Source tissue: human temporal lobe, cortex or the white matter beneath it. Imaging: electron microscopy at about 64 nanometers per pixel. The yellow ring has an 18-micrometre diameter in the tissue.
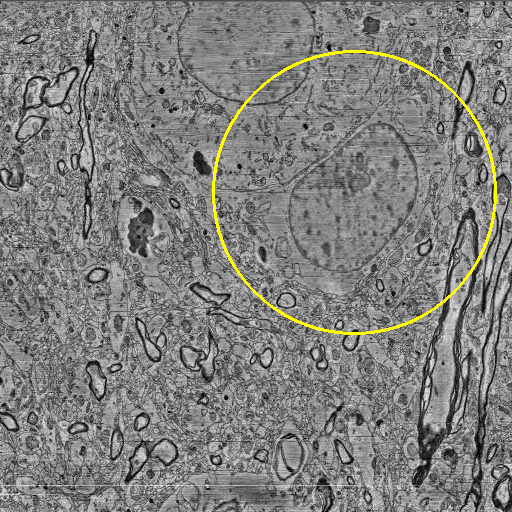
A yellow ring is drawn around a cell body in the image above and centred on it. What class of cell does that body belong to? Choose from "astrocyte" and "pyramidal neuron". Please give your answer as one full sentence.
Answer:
The yellow ring above is centred on the cell body of an astrocyte.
